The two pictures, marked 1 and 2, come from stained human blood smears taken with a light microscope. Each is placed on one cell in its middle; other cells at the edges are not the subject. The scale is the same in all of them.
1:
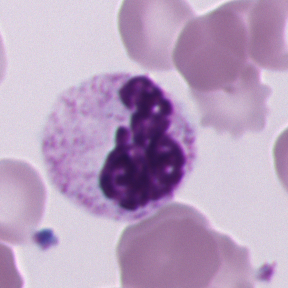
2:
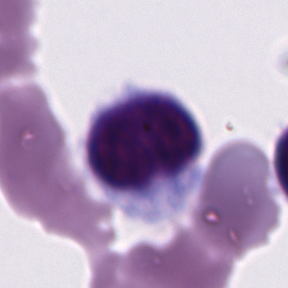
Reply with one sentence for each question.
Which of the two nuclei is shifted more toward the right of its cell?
Seen within its cell, the nucleus in crop 1 lies further toward the right.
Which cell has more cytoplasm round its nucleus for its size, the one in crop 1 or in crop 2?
In crop 1 the nucleus takes up the smaller part of its cell.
